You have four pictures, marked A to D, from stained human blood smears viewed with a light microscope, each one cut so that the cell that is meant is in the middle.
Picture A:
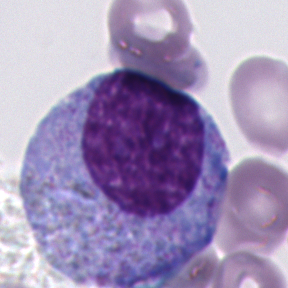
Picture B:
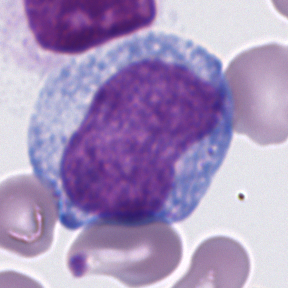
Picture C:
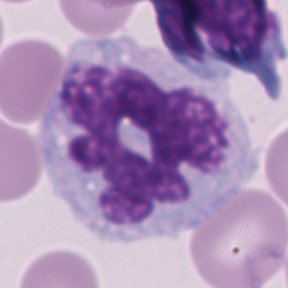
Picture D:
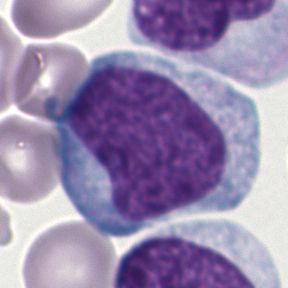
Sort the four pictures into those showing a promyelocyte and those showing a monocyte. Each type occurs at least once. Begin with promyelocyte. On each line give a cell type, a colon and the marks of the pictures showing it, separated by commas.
promyelocyte: A, B, D
monocyte: C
